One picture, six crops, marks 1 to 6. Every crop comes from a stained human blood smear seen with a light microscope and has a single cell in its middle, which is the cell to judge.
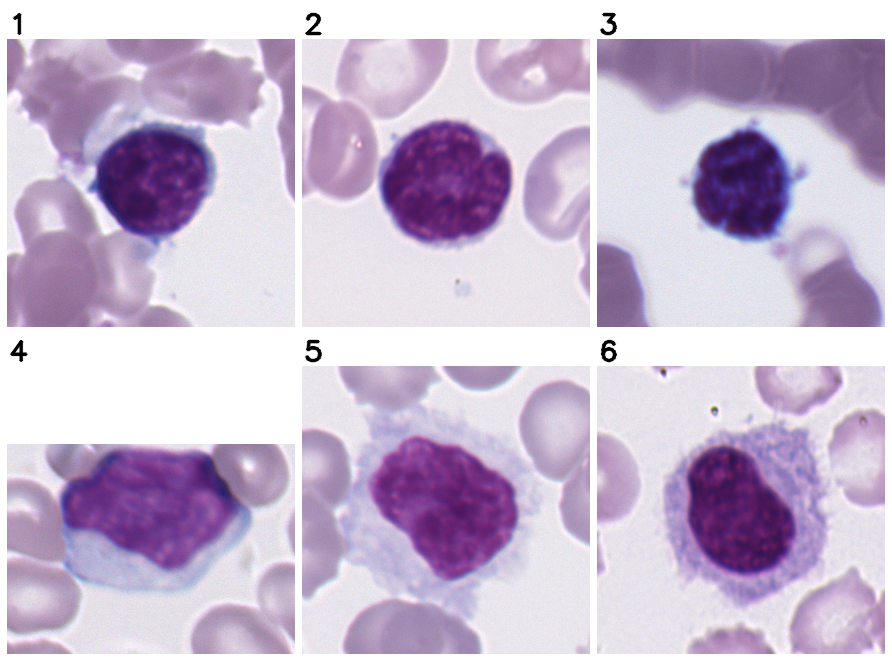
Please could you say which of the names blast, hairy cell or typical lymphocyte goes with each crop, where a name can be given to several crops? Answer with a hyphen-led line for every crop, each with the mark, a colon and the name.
- 1: typical lymphocyte
- 2: typical lymphocyte
- 3: typical lymphocyte
- 4: blast
- 5: hairy cell
- 6: hairy cell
